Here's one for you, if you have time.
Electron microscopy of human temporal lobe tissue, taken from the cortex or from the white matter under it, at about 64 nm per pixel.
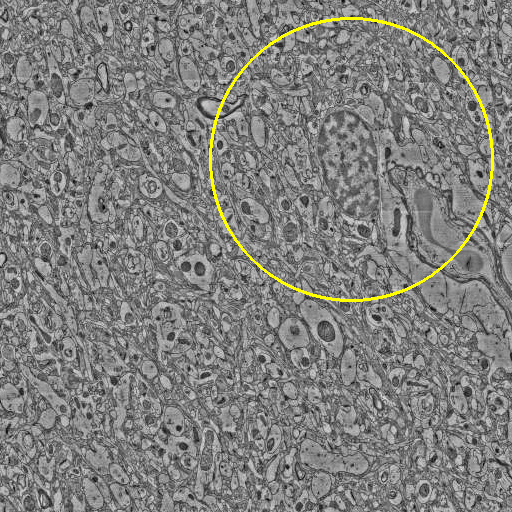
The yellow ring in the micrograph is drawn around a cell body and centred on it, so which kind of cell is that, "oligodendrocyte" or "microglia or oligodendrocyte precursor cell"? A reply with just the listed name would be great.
oligodendrocyte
